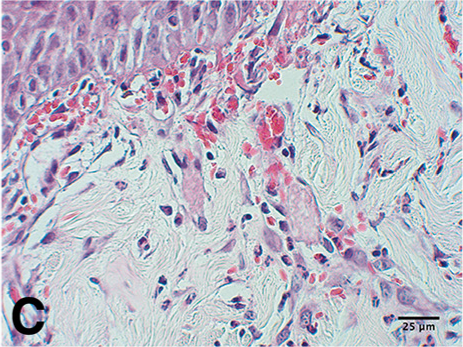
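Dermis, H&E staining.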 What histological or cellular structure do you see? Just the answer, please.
small capillaries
